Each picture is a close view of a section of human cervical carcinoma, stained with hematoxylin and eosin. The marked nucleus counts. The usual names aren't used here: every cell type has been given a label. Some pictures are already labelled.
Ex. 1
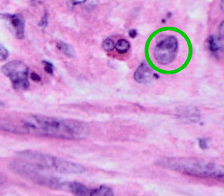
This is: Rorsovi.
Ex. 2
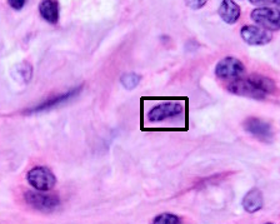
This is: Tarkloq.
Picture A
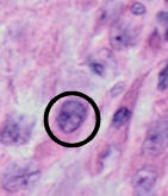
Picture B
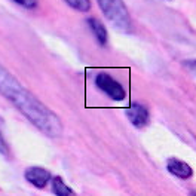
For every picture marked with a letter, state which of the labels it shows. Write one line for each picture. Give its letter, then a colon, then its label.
A: Rorsovi.
B: Tarkloq.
